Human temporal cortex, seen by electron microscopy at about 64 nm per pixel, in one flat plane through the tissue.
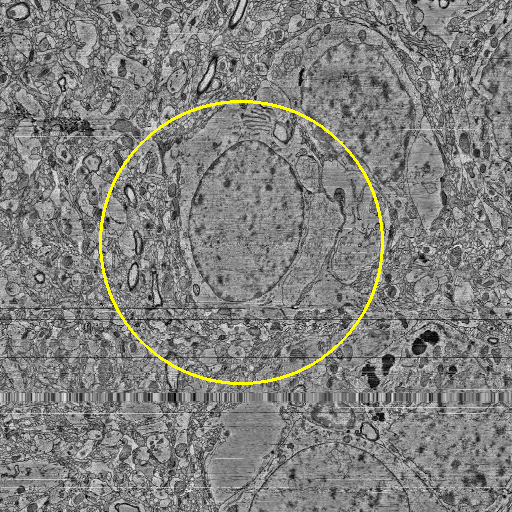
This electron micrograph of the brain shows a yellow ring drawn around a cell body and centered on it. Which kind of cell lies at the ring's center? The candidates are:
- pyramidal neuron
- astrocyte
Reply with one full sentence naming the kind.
The cell lying at the ring's center in this micrograph is an astrocyte.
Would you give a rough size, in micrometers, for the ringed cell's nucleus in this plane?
Roughly 11 micrometres by 7 micrometres, in this plane.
